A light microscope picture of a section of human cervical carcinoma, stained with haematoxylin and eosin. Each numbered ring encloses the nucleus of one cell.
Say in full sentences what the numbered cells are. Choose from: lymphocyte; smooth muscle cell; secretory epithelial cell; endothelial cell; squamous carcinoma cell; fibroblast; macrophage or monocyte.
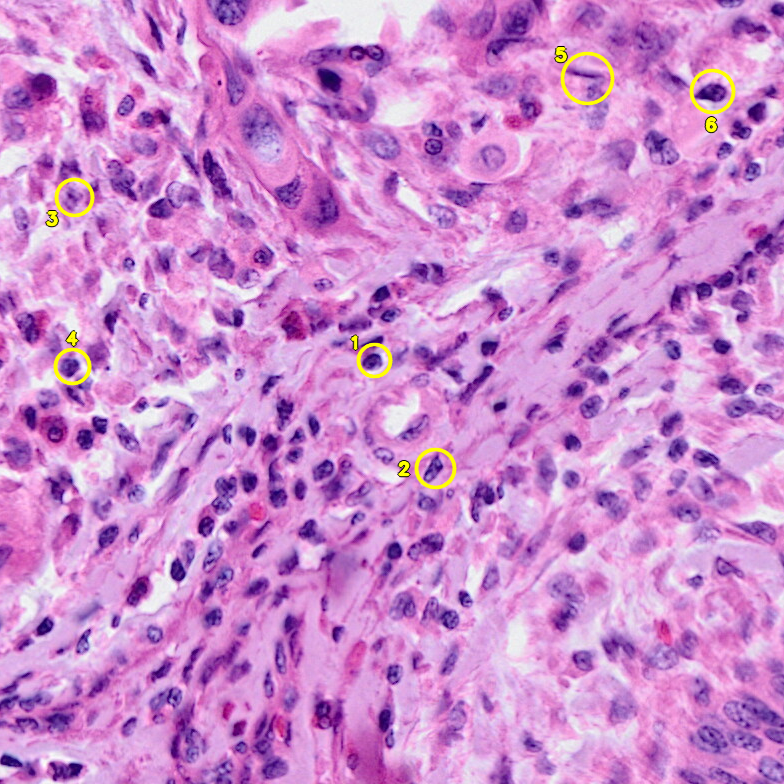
Cells 1, 2, 4 and 6 are lymphocytes. Cells 3 and 5 are fibroblasts.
